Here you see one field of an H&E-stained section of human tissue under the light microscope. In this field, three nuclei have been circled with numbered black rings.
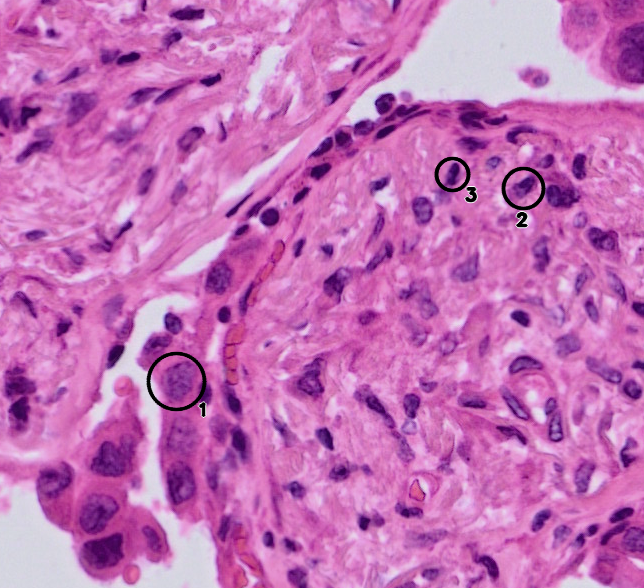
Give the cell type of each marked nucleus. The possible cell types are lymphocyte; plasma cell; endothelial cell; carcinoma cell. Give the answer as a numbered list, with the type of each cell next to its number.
1. carcinoma cell
2. plasma cell
3. lymphocyte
